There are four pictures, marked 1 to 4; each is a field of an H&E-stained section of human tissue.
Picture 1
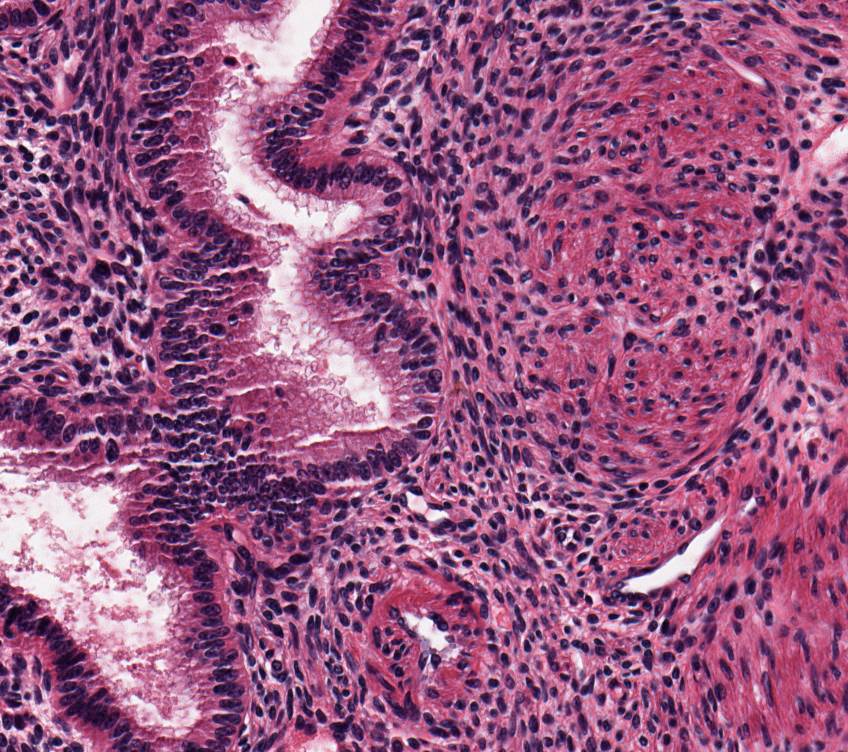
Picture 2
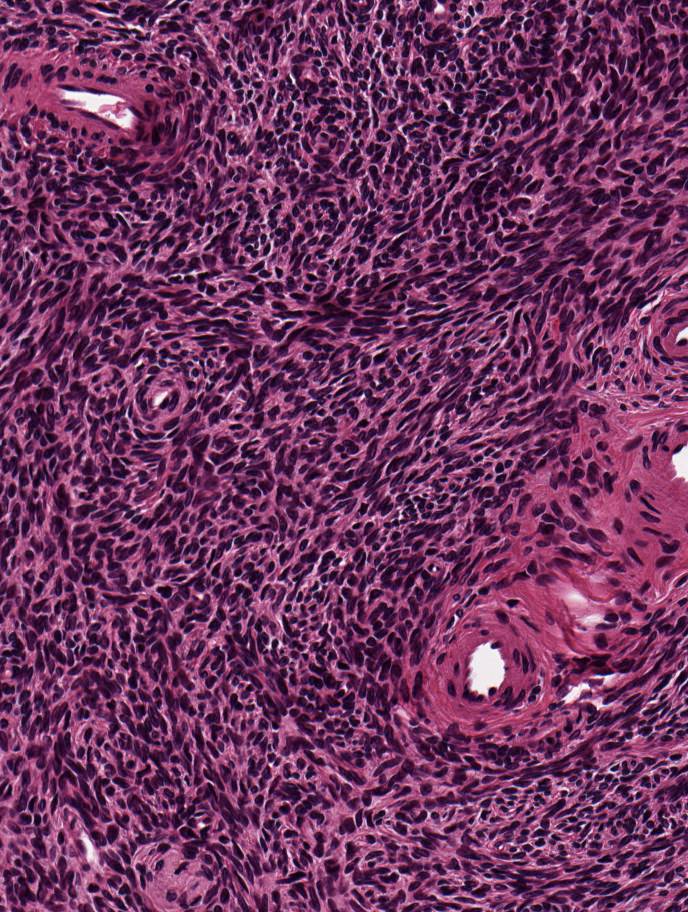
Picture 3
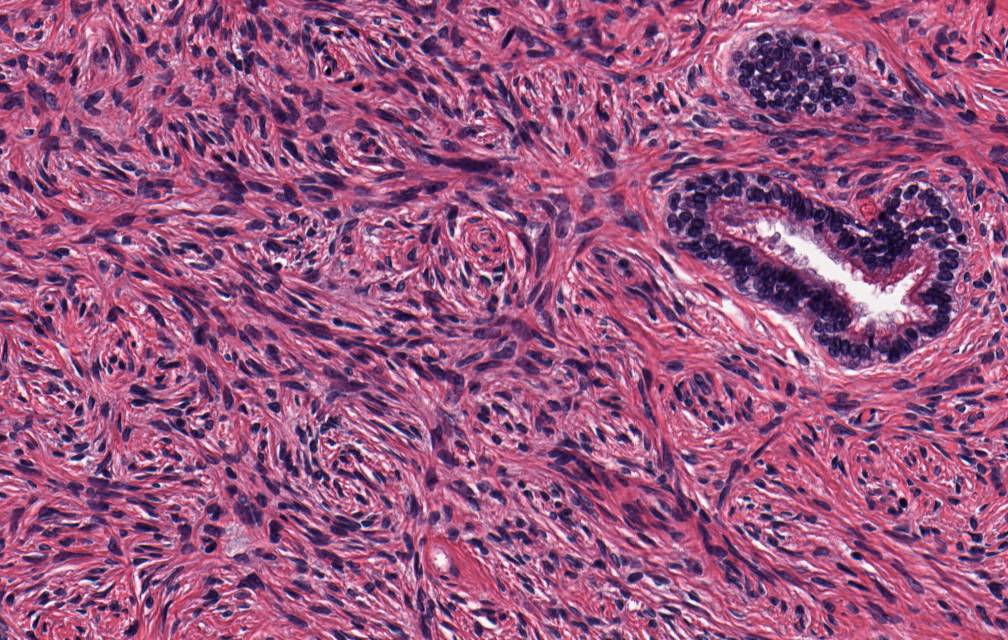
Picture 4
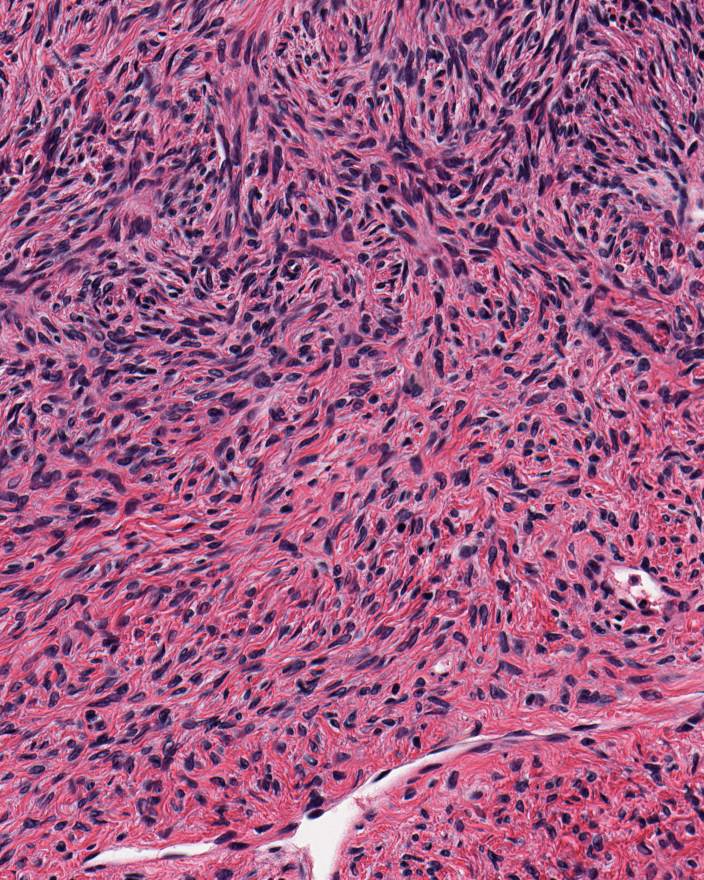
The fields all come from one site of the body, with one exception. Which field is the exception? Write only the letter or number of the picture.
1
